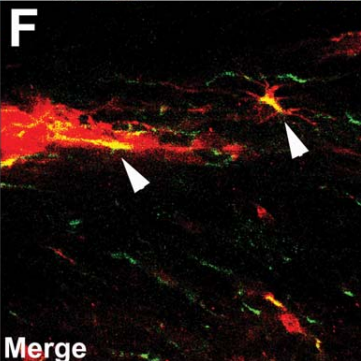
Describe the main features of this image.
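At upper right a single cell with a small central body gives off many thin red processes radiating in all directions, and its body appears yellow where green and red overlap. To the left a dense, elongated band of red signal runs horizontally, with yellow streaks along its lower edge where green fibres lie within it. Thin green threads without red are scattered through the rest of the field.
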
